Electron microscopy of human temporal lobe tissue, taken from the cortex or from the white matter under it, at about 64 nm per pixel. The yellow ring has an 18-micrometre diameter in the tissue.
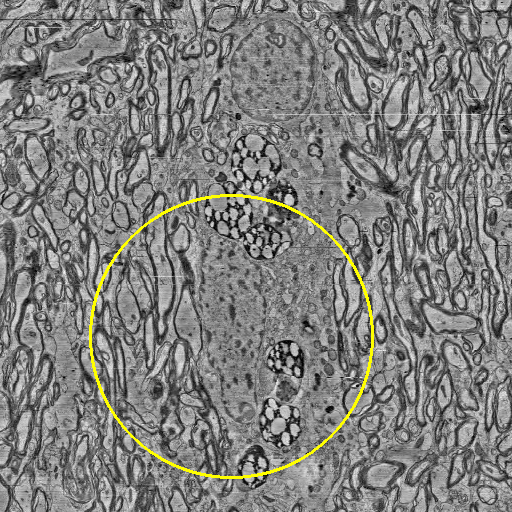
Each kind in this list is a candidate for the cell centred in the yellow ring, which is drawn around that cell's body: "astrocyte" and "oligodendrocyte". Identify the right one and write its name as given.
astrocyte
